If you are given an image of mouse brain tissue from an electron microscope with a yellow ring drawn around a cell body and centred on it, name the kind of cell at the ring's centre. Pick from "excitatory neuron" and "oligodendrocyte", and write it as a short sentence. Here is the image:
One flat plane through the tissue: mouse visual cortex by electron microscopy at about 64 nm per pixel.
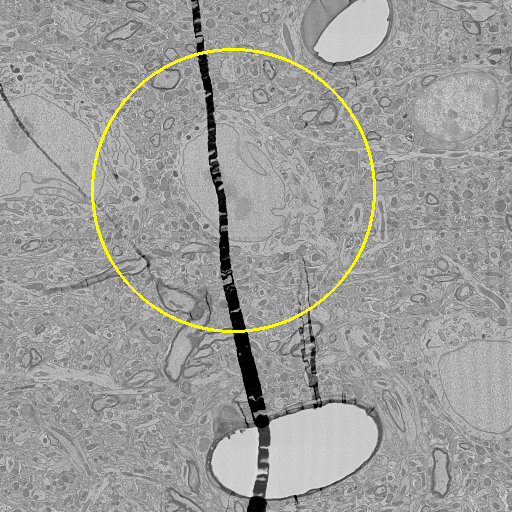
The cell at the ring's centre is an excitatory neuron.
